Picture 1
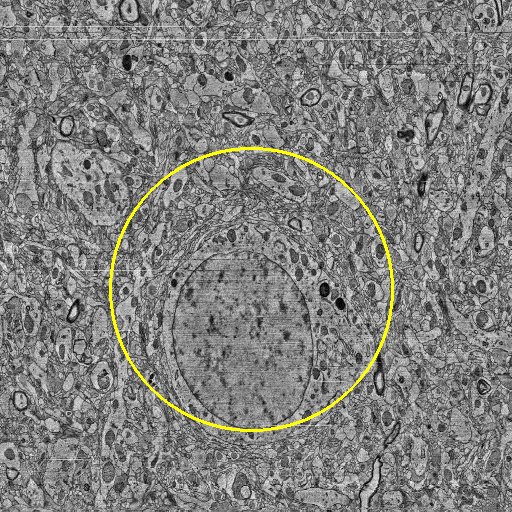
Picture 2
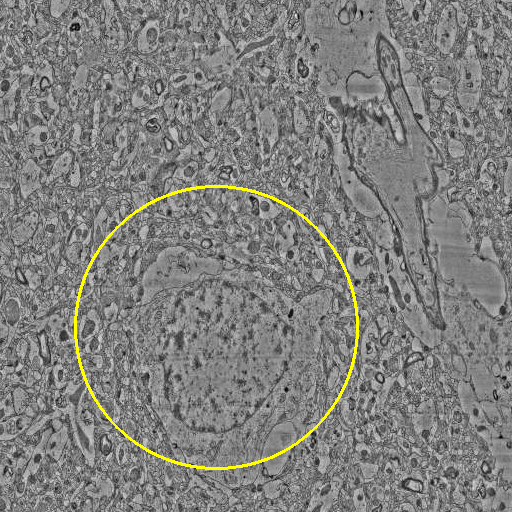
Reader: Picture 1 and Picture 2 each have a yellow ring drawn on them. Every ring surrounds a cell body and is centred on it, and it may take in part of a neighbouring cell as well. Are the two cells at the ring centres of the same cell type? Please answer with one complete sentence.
No, the cells are of two cell types.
